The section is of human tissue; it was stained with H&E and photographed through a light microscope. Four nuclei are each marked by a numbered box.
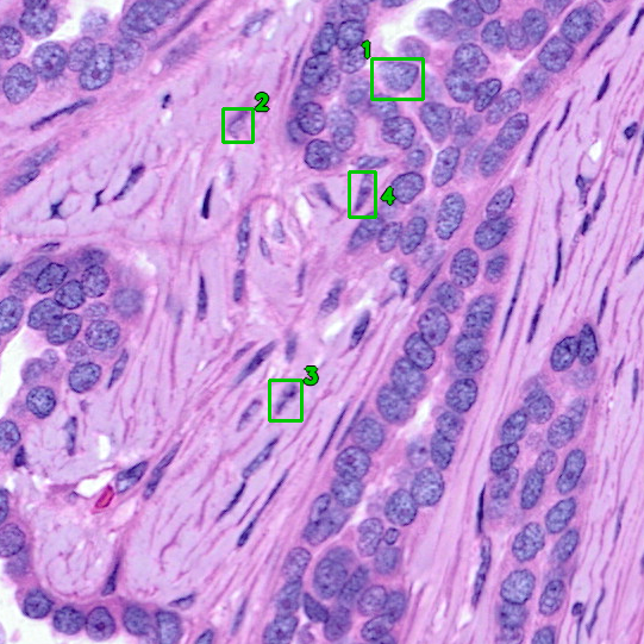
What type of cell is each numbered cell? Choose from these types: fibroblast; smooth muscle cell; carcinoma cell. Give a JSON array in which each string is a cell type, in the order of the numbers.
["carcinoma cell", "fibroblast", "fibroblast", "fibroblast"]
